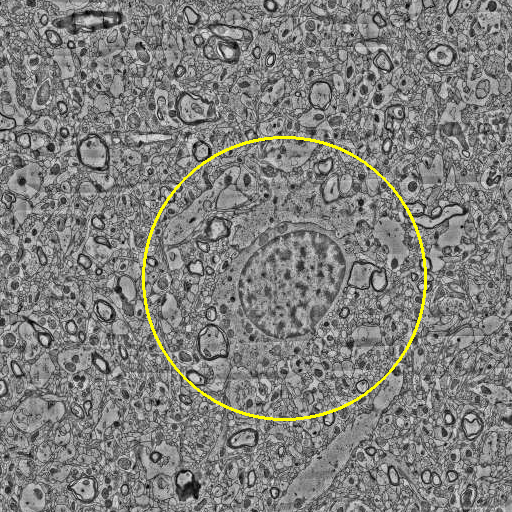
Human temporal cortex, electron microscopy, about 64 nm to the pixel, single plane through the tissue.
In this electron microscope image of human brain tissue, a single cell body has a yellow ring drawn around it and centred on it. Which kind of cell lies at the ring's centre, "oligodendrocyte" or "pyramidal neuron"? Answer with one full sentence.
It is an oligodendrocyte whose cell body lies at the centre of the yellow ring here.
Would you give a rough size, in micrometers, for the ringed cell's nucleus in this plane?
In this plane the nucleus measures roughly 7 by 6 micrometers.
